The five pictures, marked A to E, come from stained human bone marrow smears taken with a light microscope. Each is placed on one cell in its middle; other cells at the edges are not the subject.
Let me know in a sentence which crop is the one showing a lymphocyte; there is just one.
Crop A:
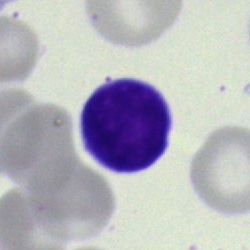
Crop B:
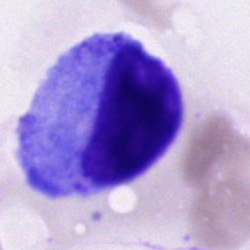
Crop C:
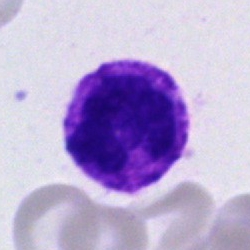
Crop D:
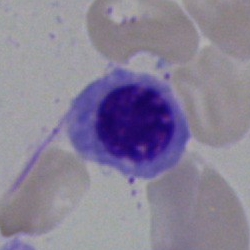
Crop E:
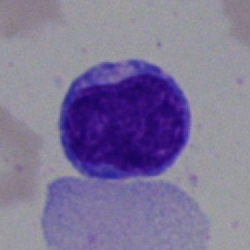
Crop A is the one in the set with a lymphocyte at the center.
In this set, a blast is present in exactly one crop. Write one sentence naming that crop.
Selected crop: E, which is the one that shows a blast.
